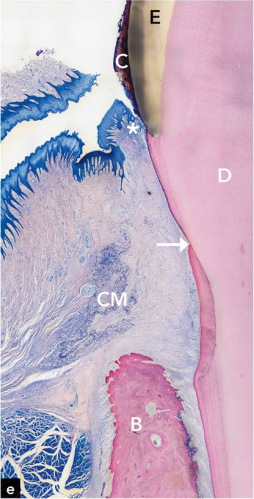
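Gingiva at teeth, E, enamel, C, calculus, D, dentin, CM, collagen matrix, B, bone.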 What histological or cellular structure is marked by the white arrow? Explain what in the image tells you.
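Apical end of the junctional epithelium. A thin epithelial lining follows the tooth surface down from the enamel. The arrow marks where the lining stops against the root surface.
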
